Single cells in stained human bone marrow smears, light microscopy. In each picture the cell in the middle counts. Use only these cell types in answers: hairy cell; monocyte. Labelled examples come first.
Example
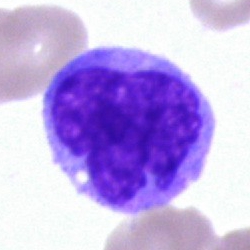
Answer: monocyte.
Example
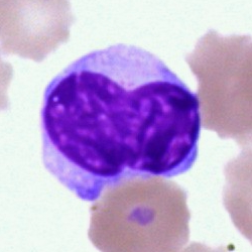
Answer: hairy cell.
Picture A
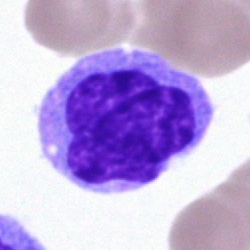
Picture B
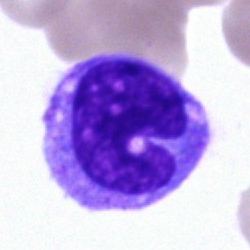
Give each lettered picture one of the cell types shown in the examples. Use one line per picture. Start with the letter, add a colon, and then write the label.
A: monocyte.
B: monocyte.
